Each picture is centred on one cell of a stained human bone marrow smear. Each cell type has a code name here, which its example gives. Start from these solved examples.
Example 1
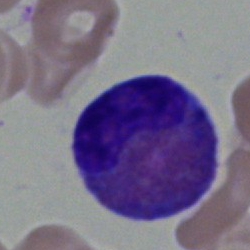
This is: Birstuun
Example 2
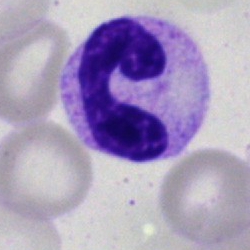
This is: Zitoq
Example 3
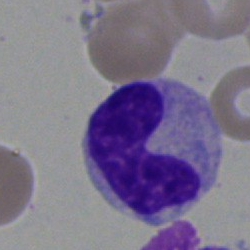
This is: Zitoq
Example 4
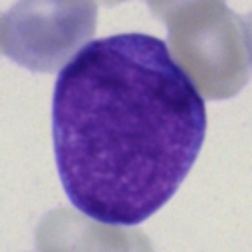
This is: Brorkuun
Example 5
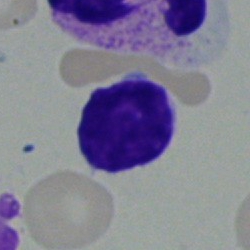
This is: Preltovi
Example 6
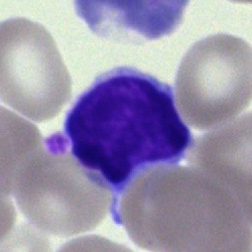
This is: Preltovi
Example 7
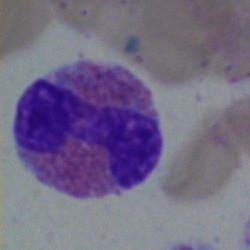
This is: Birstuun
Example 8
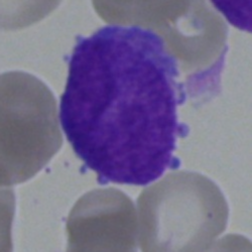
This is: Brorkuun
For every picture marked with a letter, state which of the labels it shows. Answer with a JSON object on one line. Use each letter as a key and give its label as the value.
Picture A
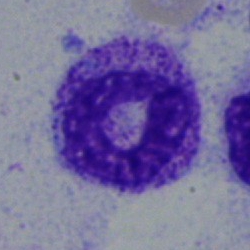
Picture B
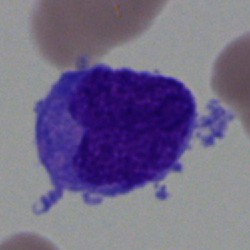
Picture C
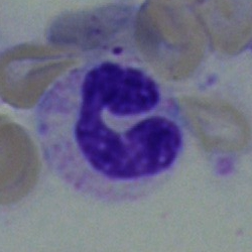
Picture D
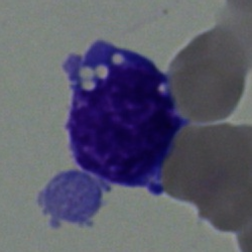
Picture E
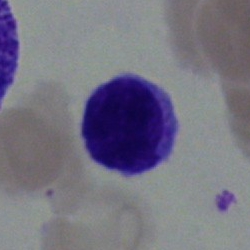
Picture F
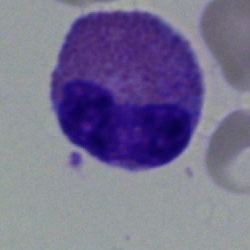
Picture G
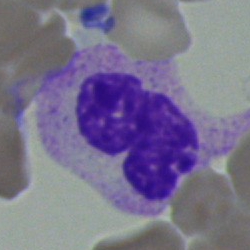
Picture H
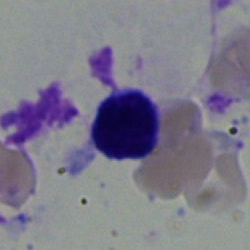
{"A": "Zitoq", "B": "Brorkuun", "C": "Zitoq", "D": "Brorkuun", "E": "Preltovi", "F": "Birstuun", "G": "Zitoq", "H": "Preltovi"}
